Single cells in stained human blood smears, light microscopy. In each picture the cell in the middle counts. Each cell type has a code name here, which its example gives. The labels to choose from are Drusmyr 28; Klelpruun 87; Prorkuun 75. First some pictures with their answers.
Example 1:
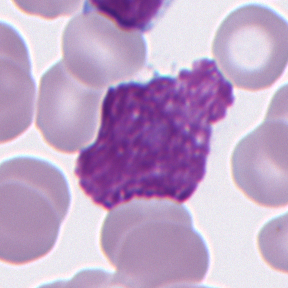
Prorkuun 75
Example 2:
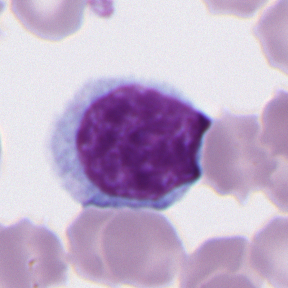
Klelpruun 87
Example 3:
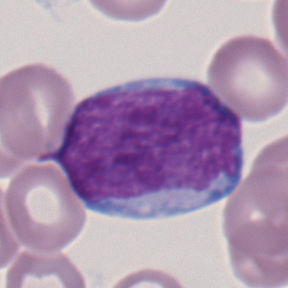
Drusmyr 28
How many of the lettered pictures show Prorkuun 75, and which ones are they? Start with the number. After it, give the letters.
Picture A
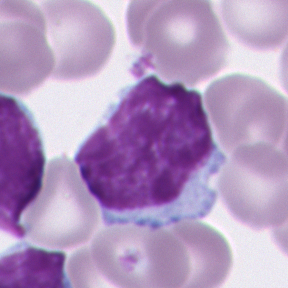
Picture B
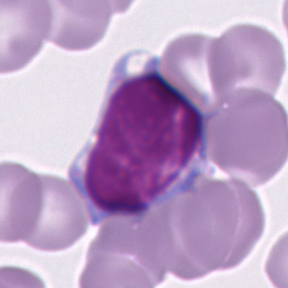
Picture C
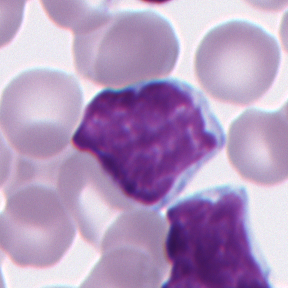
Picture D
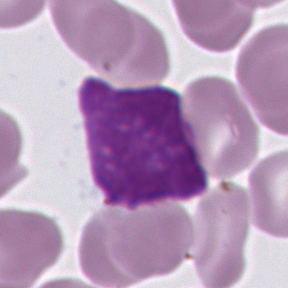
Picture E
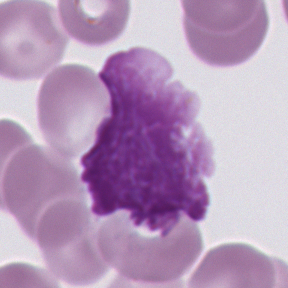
2, namely D, E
